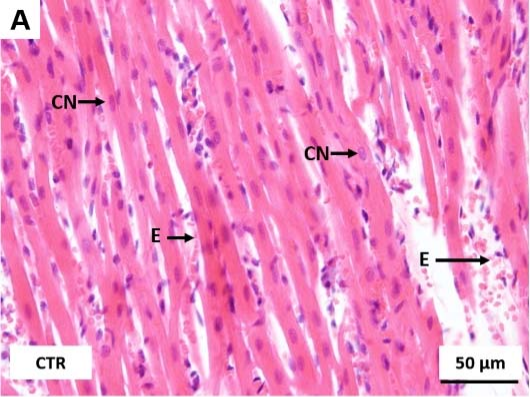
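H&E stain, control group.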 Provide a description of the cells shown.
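This is heart muscle cut along its length, with long pink cardiac muscle fibres running side by side and now and then branching. Each fibre carries oval, pale-purple nuclei lying in its middle, and in the clefts between fibres small round red blood cells have collected.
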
